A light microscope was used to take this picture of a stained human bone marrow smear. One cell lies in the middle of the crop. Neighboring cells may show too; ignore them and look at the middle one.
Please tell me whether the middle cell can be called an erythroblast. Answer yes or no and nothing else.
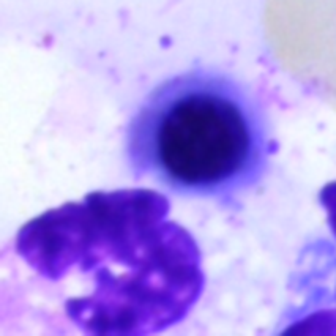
yes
